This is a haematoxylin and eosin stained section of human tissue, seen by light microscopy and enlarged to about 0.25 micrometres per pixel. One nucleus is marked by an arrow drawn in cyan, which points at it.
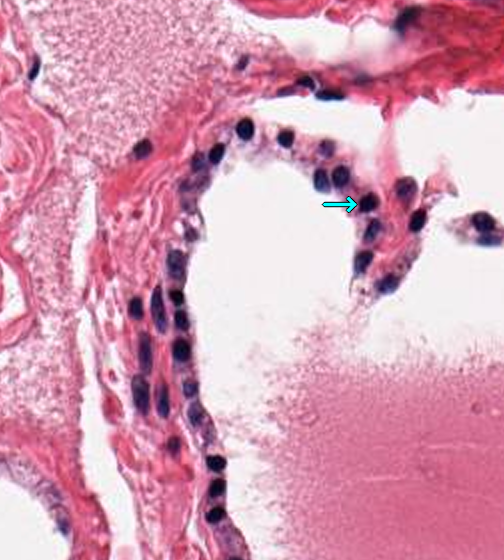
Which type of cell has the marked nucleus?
thyroid follicular cell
